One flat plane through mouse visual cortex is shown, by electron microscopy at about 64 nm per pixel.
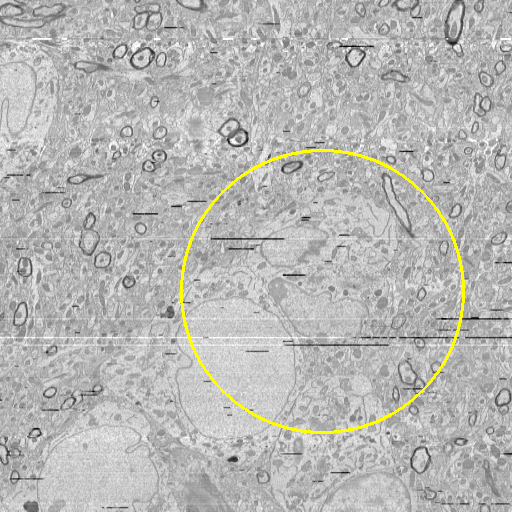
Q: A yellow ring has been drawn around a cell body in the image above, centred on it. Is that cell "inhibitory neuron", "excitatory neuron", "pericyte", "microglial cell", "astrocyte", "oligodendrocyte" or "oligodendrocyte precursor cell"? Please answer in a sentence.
The ring surrounds the cell body of an oligodendrocyte precursor cell.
